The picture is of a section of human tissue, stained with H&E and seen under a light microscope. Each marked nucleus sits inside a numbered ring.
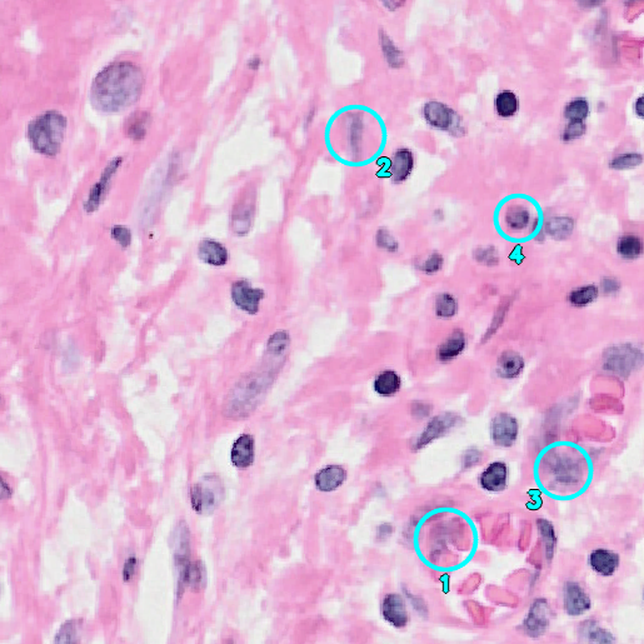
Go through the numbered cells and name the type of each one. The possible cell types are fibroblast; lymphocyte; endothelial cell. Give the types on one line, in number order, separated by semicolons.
endothelial cell; fibroblast; endothelial cell; lymphocyte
